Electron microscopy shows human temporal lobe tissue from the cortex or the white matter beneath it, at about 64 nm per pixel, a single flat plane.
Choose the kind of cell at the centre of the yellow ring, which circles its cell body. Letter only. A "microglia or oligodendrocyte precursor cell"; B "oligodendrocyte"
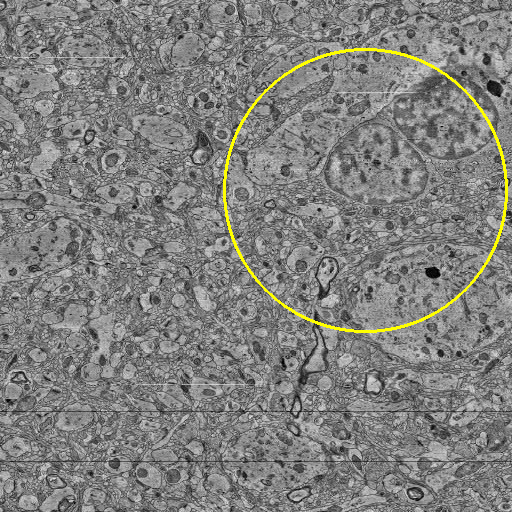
B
